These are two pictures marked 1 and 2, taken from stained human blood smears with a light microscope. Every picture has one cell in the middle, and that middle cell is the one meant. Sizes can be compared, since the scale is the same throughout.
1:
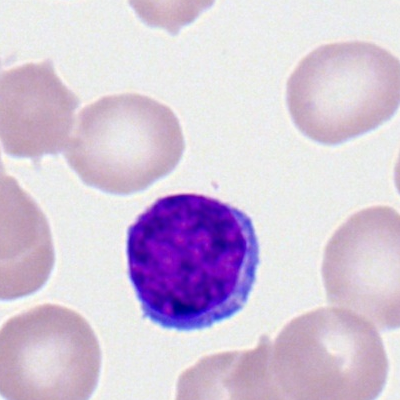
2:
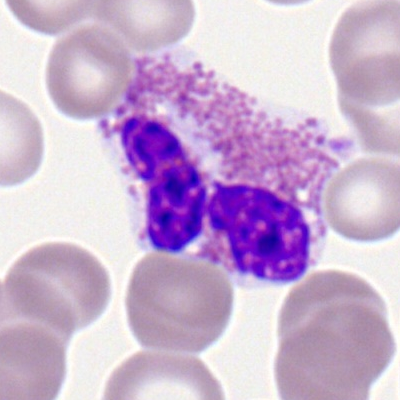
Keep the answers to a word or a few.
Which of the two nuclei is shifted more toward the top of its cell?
1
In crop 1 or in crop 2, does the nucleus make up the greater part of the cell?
1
